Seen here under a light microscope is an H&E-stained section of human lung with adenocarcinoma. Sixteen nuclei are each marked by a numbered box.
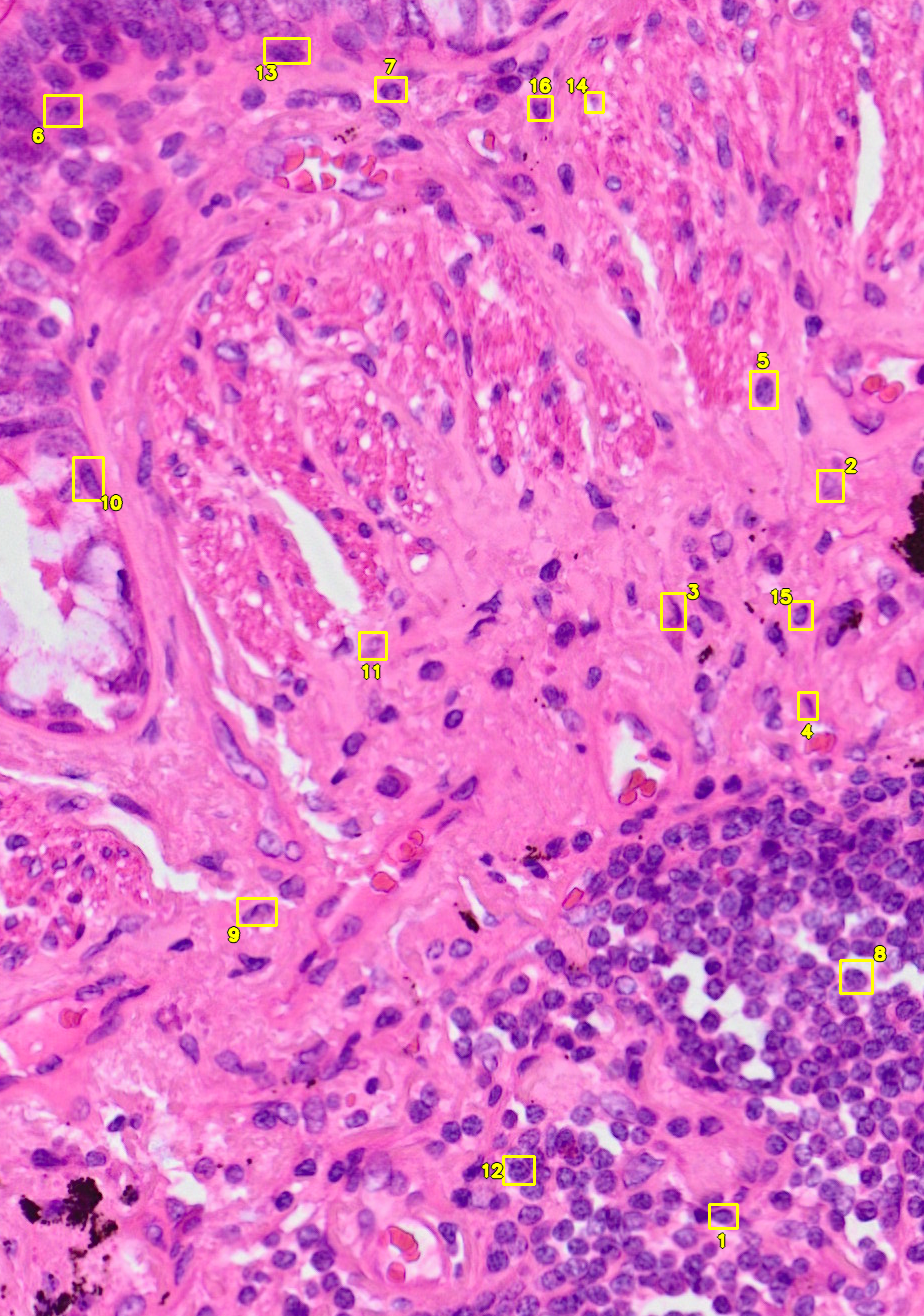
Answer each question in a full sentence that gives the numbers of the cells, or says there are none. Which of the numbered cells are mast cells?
The numbers 5, 7 and 15 mark cells that are mast cells.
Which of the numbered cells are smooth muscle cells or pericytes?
Just the cell marked 14 is a smooth muscle cell or pericyte; none of the other marked cells is.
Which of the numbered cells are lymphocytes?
The numbers 1, 8 and 12 refer to cells that are lymphocytes.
